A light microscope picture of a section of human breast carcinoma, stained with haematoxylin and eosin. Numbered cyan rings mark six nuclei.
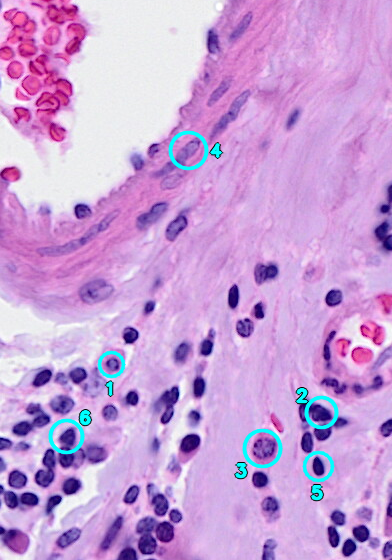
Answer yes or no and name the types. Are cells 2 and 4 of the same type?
No, just to clarify, cell 2 is a lymphocyte and cell 4 is an endothelial cell.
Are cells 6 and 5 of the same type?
Yes, cells 6 and 5 both count as lymphocytes.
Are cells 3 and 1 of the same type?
Yes, cells 3 and 1 are both termed mast cells.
